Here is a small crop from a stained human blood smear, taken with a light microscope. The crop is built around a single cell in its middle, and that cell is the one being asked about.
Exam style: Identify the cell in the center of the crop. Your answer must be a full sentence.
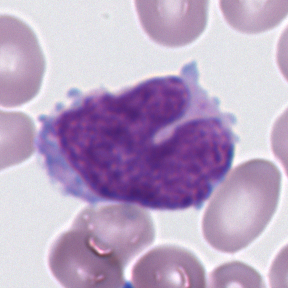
The central element of this crop is a cell, namely an atypical promyelocyte.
